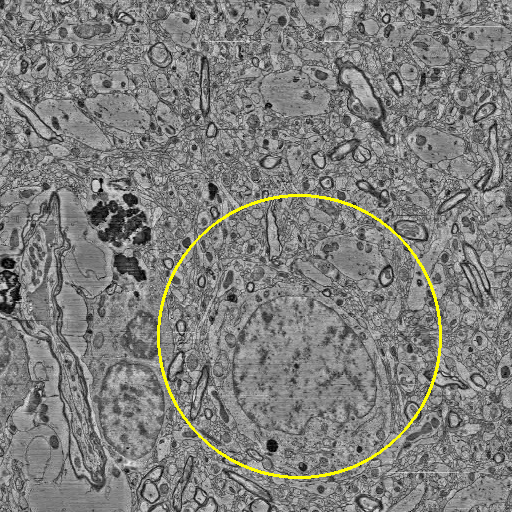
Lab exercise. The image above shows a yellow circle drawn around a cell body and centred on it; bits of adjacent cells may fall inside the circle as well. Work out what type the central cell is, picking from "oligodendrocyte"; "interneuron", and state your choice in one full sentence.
In the image above, the cell at the centre of the yellow circle is an interneuron.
